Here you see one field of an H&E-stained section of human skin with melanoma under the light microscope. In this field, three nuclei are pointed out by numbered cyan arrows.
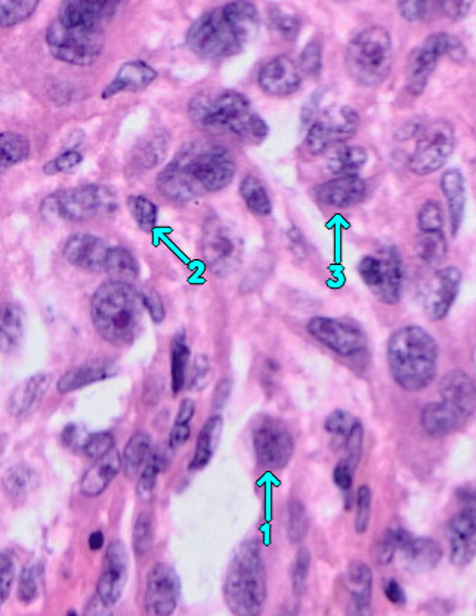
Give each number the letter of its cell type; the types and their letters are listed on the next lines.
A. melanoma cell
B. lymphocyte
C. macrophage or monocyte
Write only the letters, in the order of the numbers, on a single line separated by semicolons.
A; C; A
